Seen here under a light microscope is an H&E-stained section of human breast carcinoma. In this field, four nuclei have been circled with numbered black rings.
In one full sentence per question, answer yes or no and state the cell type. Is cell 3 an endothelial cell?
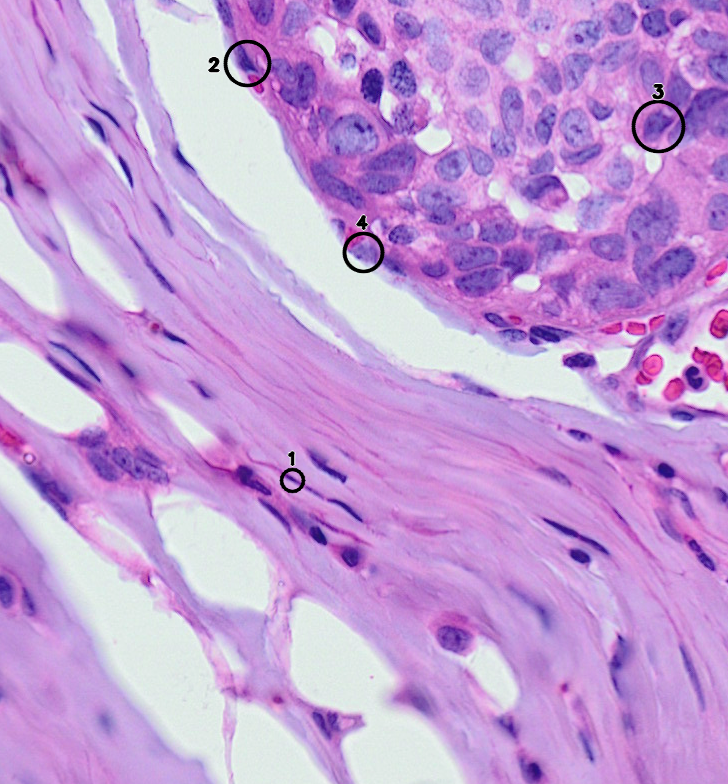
No, cell 3 is classified as a carcinoma cell rather than an endothelial cell.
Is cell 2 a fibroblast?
No, cell 2 is to be read as an endothelial cell, not a fibroblast.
